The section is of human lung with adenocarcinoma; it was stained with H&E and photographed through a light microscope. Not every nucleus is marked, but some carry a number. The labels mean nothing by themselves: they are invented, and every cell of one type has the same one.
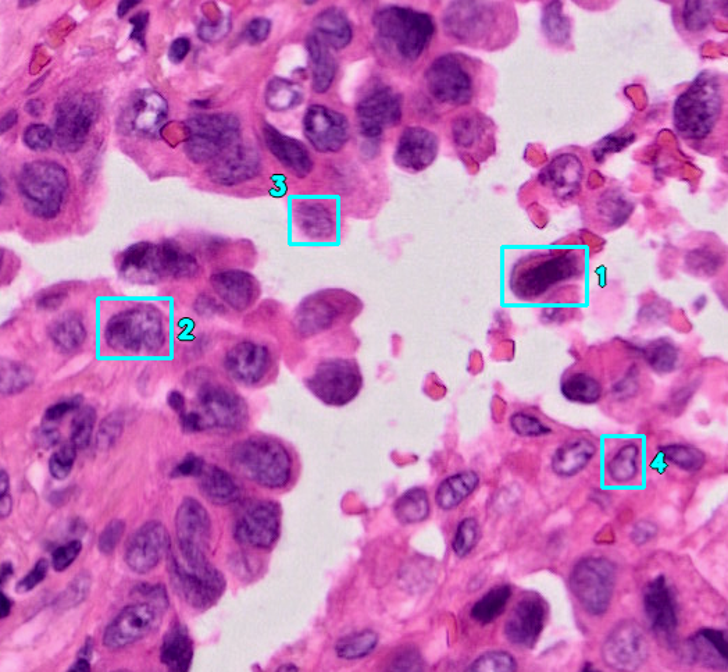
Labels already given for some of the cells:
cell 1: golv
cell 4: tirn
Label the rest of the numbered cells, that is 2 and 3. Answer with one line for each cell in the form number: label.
2: golv
3: golv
